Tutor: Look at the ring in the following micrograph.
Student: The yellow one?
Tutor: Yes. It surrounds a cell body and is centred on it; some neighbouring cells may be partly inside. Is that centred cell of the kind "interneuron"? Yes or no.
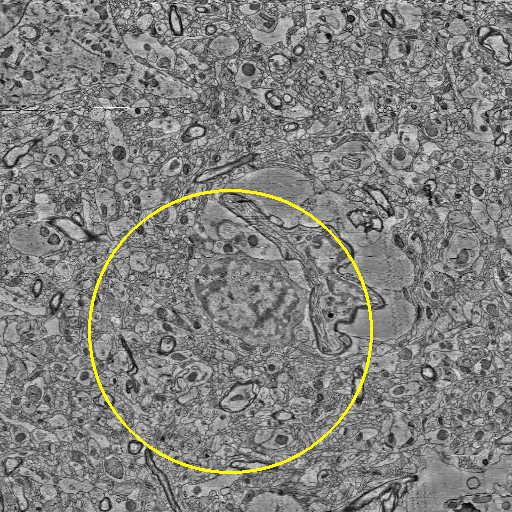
no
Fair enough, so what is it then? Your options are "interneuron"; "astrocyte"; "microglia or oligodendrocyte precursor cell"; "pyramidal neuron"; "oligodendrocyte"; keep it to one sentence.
The cell in question here is an oligodendrocyte.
